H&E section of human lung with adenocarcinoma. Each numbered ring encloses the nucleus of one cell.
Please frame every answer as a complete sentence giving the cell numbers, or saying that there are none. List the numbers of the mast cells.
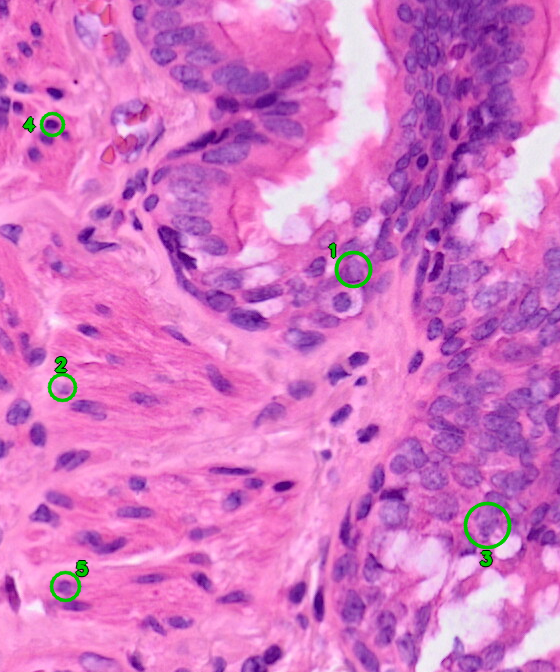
The numbered cells are not mast cells, not even one of them.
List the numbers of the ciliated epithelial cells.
The cells numbered 1 and 3 are identified as ciliated epithelial cells.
